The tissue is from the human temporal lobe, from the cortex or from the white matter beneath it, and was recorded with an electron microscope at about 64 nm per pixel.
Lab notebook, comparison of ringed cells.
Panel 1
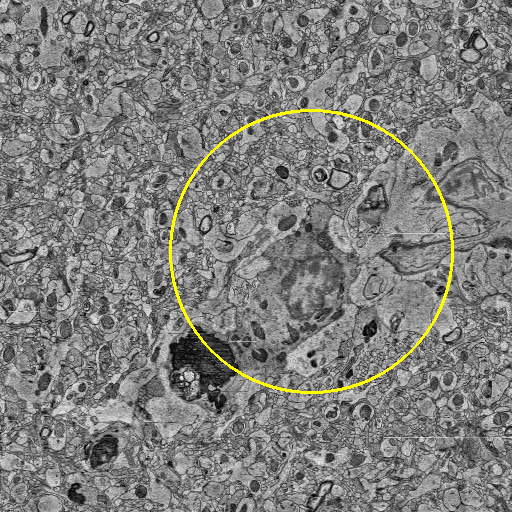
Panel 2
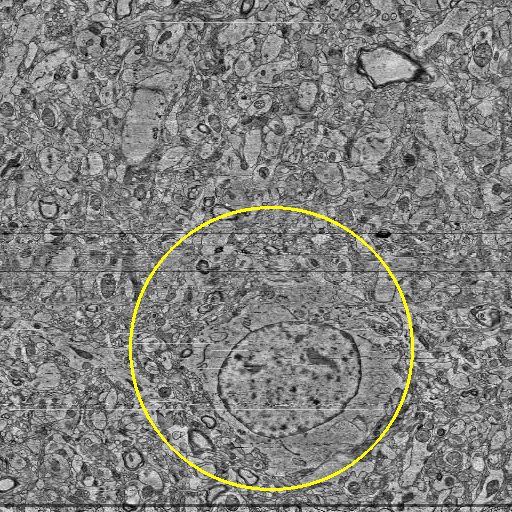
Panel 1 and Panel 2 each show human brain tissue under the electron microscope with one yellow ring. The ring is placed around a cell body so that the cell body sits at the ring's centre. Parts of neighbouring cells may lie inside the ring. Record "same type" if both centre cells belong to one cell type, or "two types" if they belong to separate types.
two types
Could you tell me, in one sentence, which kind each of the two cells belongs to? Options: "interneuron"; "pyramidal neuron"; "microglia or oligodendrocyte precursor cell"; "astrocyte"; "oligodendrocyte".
At the centre of the first ring sits an oligodendrocyte, and at the centre of the second sits an astrocyte.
